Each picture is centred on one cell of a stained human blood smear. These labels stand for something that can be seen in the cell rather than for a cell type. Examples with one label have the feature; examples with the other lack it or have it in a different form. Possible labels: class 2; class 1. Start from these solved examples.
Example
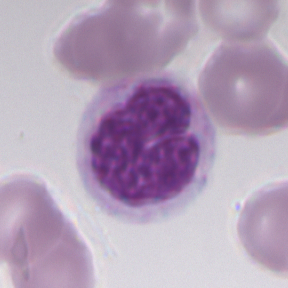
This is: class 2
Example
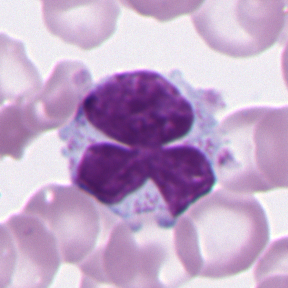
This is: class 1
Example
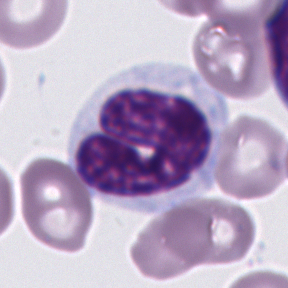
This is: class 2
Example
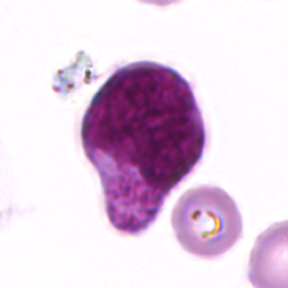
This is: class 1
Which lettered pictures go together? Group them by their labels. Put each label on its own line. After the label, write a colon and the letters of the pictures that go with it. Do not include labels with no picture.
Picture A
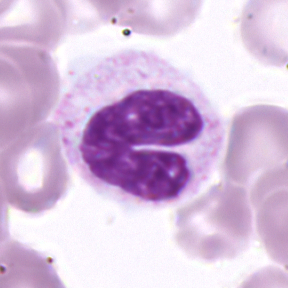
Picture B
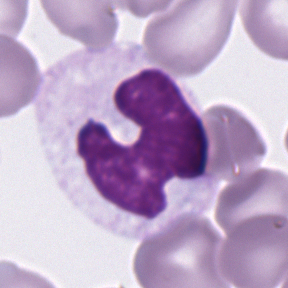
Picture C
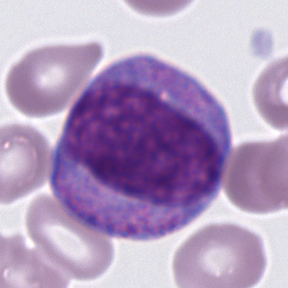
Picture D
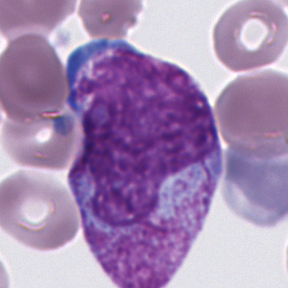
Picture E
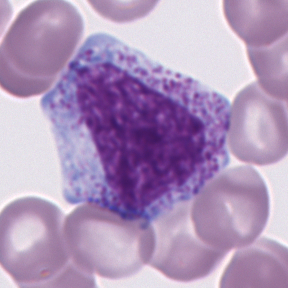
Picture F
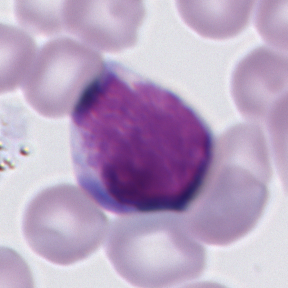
class 2: F
class 1: A, B, C, D, E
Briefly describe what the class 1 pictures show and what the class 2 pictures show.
class 1: many visible granules; class 2: no visible granules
